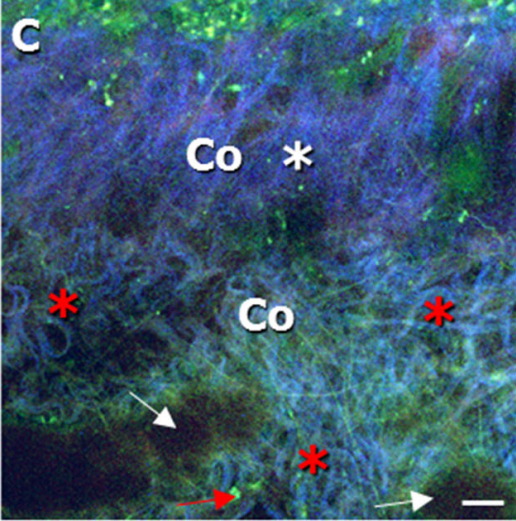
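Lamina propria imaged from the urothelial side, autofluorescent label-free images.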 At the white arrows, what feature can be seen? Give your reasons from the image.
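Vessel structures. The arrows point at a broad dark elongated space along the lower edge. The dark space interrupts the surrounding fibrous tissue.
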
